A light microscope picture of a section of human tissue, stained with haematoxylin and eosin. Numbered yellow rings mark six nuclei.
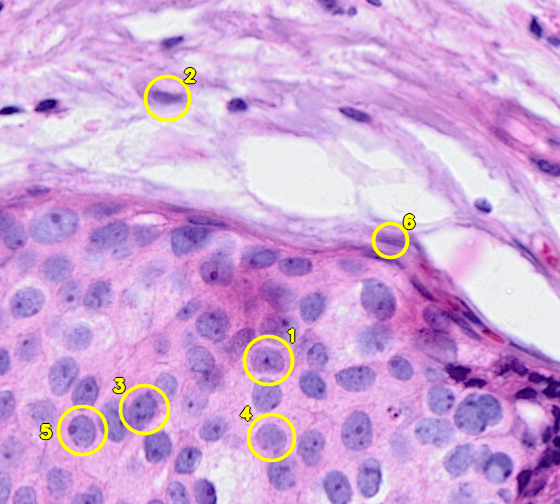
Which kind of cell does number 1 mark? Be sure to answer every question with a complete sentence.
The cell that is numbered 1 is a carcinoma cell.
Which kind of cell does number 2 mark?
The cell tagged with 2 in this tissue section is a fibroblast.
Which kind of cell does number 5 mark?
The numeral 5 marks a carcinoma cell in this section.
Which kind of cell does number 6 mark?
In this section, the cell numbered 6 is an endothelial cell.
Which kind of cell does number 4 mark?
The cell that bears the number 4 is a carcinoma cell.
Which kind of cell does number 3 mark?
The one labeled 3 is a carcinoma cell, to put it simply.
